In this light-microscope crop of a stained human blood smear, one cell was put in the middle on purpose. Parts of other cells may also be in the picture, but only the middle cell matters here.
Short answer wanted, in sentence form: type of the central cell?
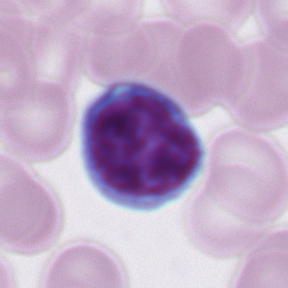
The centered cell in this crop is a lymphocyte.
